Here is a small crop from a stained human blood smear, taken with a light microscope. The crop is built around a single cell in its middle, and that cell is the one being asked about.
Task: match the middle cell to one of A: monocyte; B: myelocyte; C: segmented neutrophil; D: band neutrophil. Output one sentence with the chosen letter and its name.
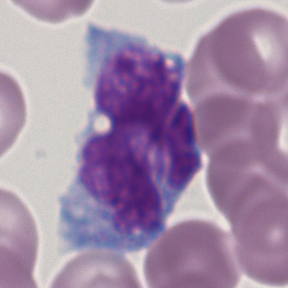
The one cell at the centre is a monocyte, as correctly stated in option A.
